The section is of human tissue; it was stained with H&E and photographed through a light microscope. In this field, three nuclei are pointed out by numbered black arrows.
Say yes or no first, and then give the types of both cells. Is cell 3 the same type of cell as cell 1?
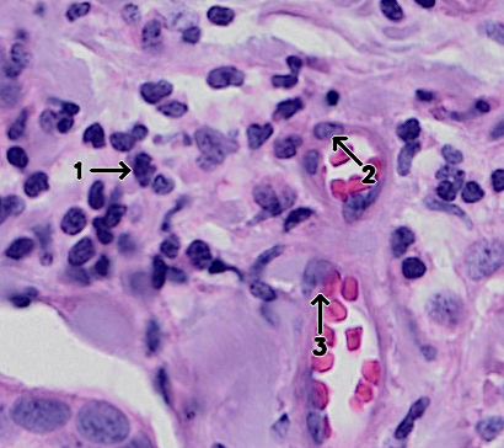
No, cell 3 is an endothelial cell and cell 1 is a lymphocyte.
